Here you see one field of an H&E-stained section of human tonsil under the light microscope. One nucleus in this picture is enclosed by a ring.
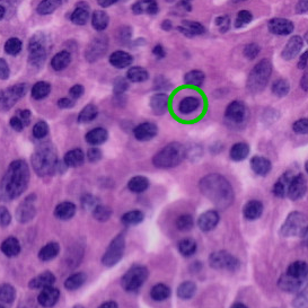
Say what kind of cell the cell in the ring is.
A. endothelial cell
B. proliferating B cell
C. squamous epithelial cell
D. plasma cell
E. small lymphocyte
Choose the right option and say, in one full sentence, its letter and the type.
Of all the options, D is right, since the cell in the ring is a plasma cell.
